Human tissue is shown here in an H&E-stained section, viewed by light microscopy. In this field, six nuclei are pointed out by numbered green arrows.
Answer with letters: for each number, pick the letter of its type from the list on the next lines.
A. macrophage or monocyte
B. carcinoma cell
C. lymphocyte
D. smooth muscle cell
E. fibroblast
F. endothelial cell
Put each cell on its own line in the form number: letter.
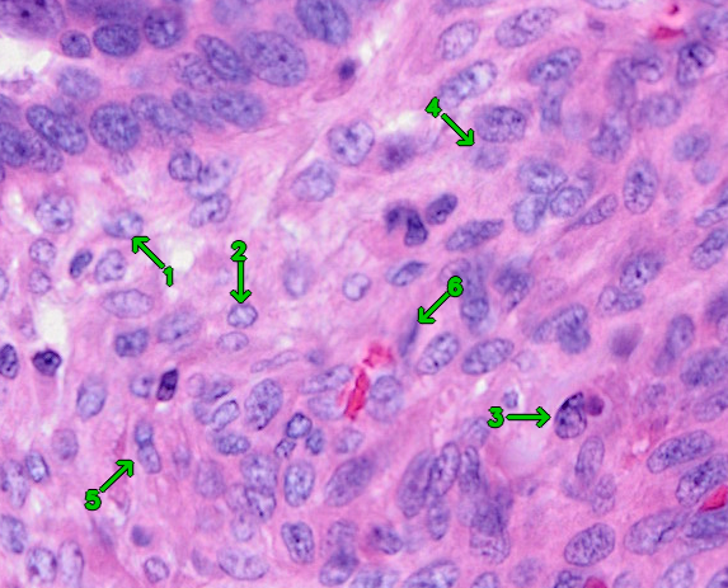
1: E
2: E
3: A
4: E
5: E
6: F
